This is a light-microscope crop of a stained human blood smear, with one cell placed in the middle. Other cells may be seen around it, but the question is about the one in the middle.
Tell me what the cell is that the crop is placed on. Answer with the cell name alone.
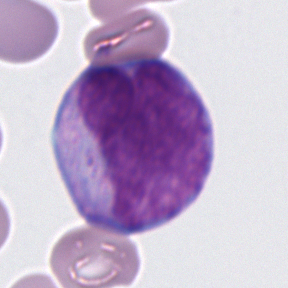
atypical promyelocyte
